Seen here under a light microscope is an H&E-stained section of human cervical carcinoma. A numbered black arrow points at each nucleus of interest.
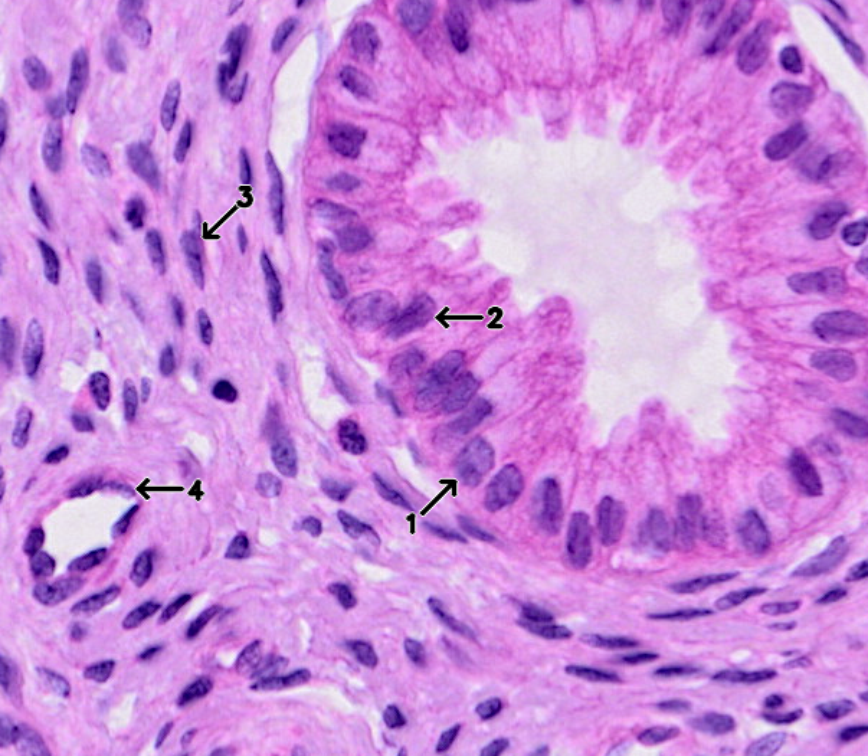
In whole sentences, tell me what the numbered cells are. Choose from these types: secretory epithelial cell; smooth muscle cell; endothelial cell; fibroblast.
Cell 1 is a secretory epithelial cell, cell 2 is a secretory epithelial cell, cell 3 is a fibroblast and cell 4 is an endothelial cell.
